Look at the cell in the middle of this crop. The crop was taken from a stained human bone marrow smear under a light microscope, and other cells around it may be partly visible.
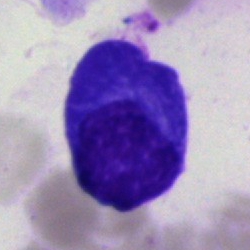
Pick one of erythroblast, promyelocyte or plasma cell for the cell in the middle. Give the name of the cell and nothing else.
plasma cell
